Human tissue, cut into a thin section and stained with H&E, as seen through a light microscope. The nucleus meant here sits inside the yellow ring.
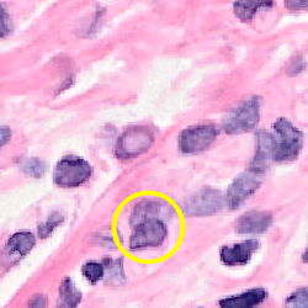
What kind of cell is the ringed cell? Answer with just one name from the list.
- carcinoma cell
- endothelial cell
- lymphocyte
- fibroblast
carcinoma cell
